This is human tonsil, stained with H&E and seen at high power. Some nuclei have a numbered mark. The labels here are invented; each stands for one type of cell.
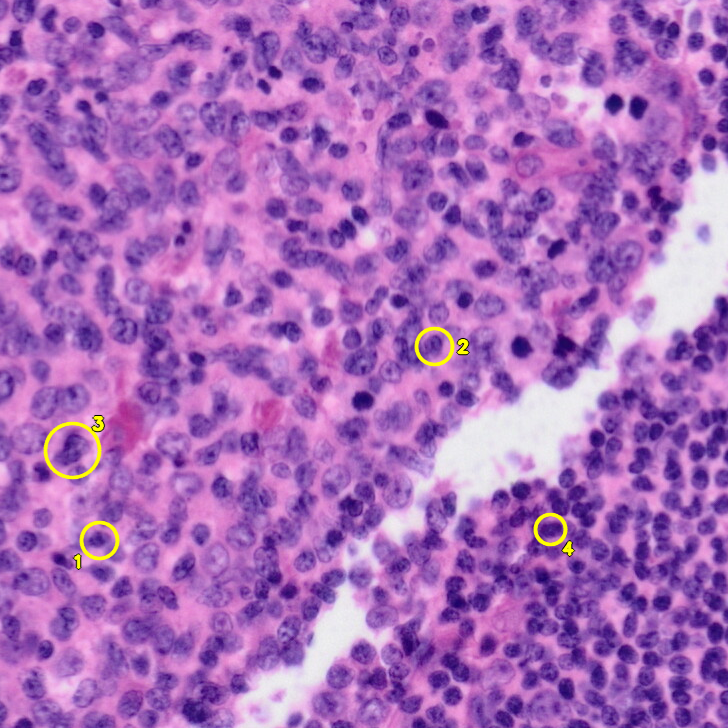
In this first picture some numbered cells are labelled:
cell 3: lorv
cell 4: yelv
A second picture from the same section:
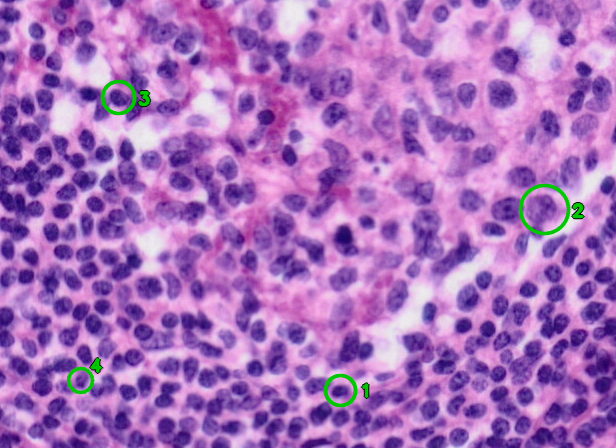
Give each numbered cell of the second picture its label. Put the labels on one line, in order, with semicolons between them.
yelv; lorv; yelv; yelv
